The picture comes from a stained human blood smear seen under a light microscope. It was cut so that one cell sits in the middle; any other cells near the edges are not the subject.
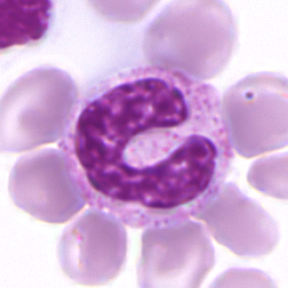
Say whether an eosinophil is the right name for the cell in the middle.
no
